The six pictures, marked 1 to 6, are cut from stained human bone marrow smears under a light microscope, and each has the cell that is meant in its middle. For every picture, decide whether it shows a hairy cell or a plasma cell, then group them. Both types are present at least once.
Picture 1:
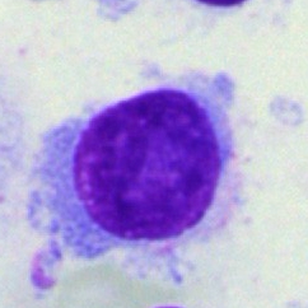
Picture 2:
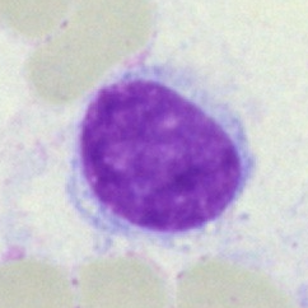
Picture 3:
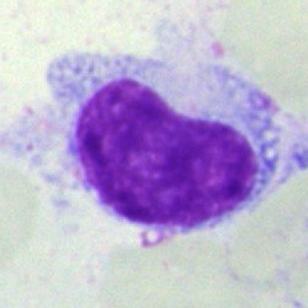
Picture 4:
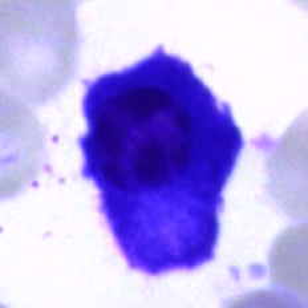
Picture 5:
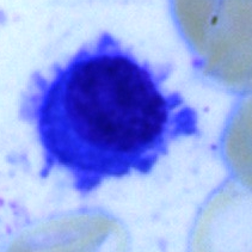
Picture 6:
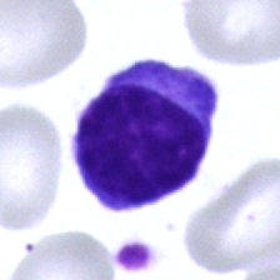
1: hairy cell
2: hairy cell
3: hairy cell
4: plasma cell
5: plasma cell
6: plasma cell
